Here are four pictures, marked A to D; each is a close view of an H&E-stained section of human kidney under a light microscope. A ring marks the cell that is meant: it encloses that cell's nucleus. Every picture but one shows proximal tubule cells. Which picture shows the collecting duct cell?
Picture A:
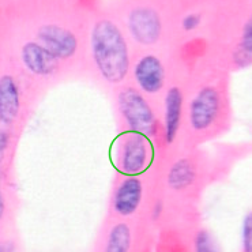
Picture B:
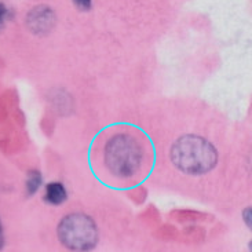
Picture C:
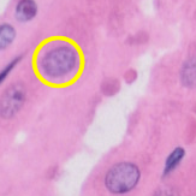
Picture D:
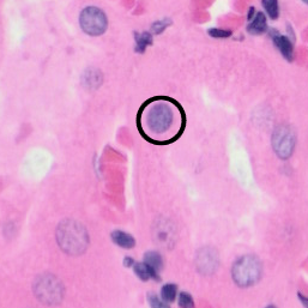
A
